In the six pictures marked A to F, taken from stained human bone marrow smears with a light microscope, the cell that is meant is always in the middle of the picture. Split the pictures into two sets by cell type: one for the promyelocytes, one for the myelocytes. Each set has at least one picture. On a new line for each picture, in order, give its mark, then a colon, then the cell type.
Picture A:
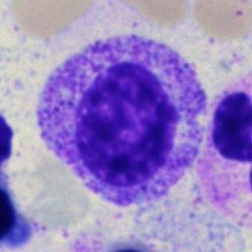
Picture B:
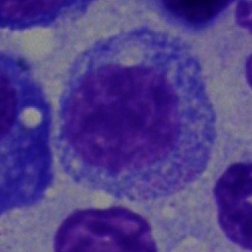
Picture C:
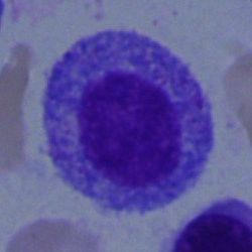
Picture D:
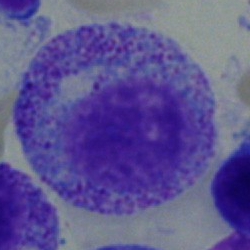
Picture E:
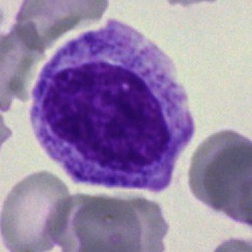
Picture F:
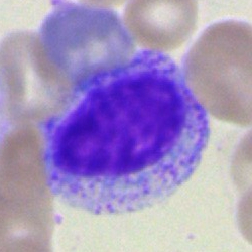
A: myelocyte
B: promyelocyte
C: promyelocyte
D: promyelocyte
E: myelocyte
F: myelocyte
